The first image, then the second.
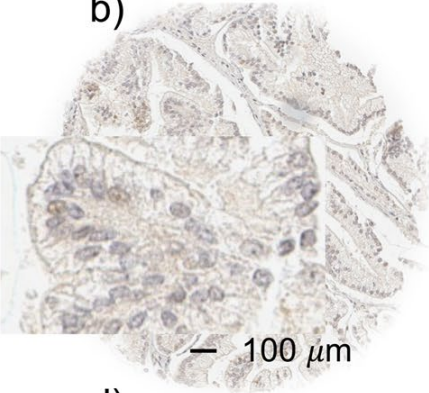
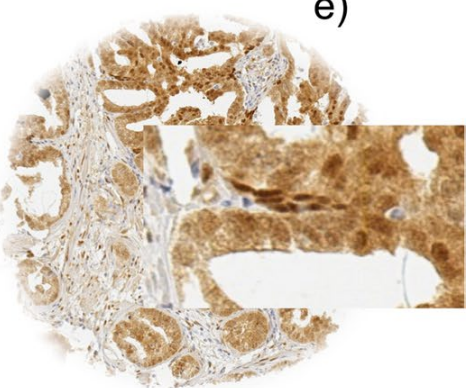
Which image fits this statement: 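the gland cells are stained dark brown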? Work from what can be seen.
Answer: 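First image: the gland cells show blue nuclei with pale, nearly unstained cytoplasm. That points to this answer: the second image.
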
